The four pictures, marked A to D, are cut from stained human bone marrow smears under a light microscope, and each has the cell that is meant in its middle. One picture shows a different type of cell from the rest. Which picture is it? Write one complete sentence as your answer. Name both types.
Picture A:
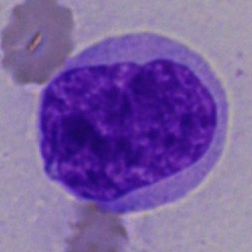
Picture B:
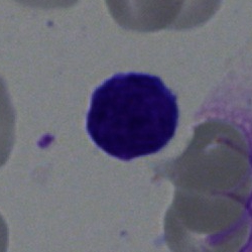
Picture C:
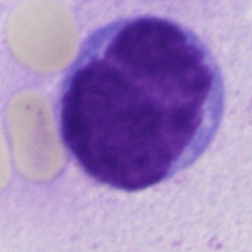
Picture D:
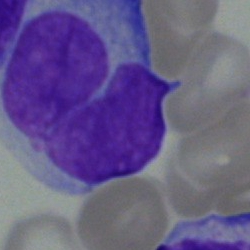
The different one is picture B; it shows a lymphocyte, whereas all the others show blasts.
